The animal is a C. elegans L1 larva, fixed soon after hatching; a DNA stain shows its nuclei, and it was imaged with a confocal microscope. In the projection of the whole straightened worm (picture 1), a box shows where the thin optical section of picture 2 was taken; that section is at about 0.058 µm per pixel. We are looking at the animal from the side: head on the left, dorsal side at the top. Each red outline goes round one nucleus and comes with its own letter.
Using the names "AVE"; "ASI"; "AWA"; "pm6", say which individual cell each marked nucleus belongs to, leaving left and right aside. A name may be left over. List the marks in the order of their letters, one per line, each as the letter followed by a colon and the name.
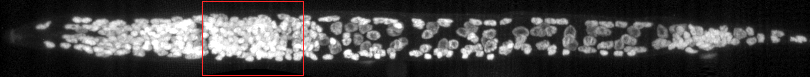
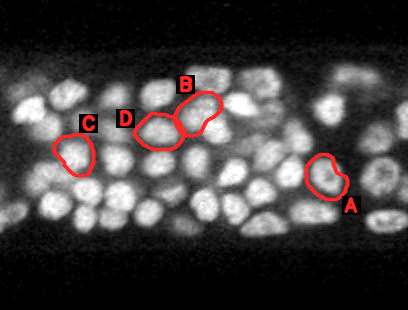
A: pm6
B: ASI
C: AVE
D: AWA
